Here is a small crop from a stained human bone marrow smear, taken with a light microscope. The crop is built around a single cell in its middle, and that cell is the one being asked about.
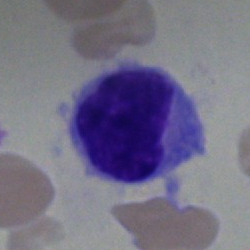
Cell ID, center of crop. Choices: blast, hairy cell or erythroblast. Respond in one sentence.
The cell of interest, in the center, is a hairy cell.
